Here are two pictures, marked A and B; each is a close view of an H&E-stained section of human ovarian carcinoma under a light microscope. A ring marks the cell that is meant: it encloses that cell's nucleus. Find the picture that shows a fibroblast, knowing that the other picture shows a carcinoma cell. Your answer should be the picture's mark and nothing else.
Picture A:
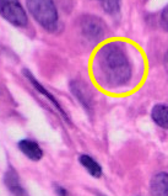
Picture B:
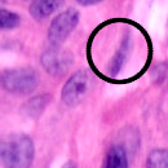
B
